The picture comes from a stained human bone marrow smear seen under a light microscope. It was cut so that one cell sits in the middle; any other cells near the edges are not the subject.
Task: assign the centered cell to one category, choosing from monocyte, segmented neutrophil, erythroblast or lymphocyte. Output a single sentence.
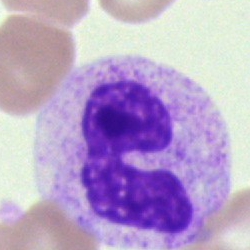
The crop shows a segmented neutrophil in its centre.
